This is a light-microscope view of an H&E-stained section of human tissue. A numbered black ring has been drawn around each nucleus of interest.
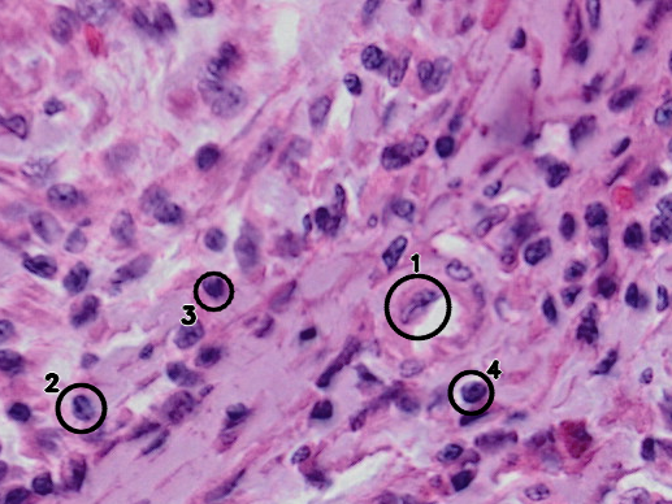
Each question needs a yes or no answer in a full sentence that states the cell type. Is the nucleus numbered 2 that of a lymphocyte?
Yes, in this section the cell numbered 2 is a lymphocyte.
